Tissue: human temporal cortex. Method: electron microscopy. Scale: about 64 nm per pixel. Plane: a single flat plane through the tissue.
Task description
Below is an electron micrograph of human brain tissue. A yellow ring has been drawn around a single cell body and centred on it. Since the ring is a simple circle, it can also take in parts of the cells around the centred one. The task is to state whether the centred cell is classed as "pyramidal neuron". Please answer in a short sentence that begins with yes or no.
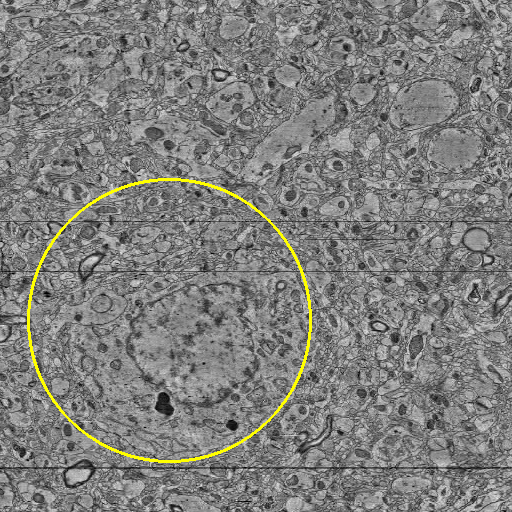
No, the centred cell is classed otherwise.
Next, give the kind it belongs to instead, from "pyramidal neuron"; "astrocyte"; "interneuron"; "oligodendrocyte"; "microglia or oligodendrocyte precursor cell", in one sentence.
The cell in question here is an interneuron.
